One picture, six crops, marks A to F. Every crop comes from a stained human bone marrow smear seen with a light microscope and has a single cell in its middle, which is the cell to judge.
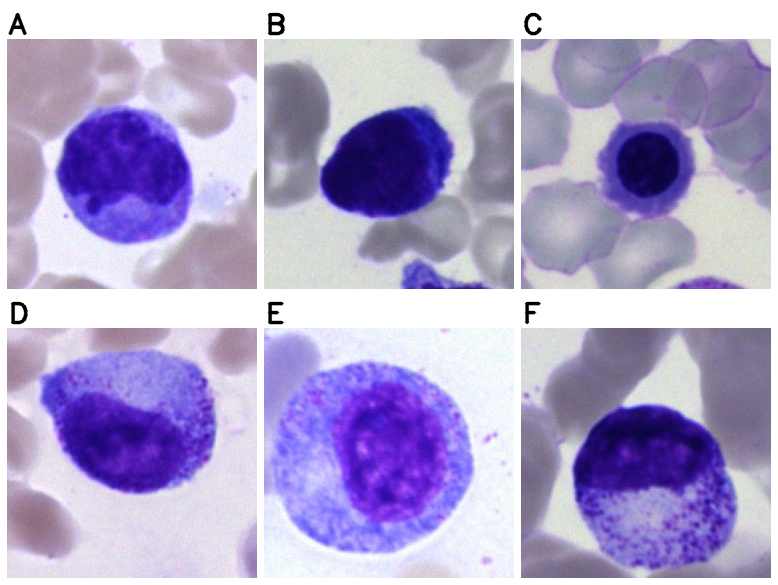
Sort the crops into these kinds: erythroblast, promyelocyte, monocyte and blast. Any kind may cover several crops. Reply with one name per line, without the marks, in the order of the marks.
monocyte
blast
erythroblast
promyelocyte
promyelocyte
promyelocyte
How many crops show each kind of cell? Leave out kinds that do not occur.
promyelocyte: 3
monocyte: 1
blast: 1
erythroblast: 1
